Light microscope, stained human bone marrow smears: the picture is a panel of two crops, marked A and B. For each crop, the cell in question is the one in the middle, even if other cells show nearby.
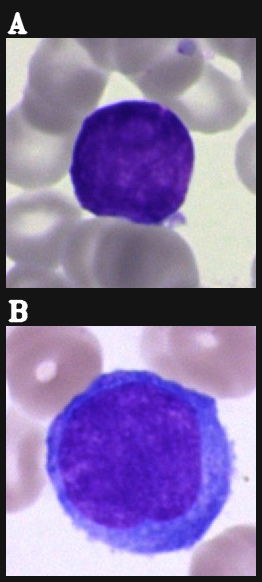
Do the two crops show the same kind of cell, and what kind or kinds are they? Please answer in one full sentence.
Yes, both of the crops show blasts.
